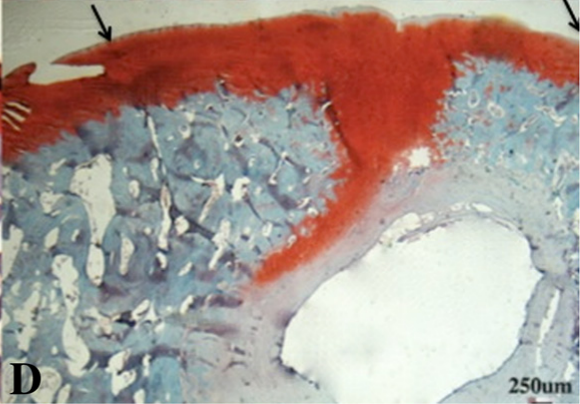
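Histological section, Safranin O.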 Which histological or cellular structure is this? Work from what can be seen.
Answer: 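A large, rounded, empty white cavity lies beneath the red-stained cartilage layer. The cavity sits within the bone below the surface, lined by a thin rim of tissue.
Answer: subchondral cyst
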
